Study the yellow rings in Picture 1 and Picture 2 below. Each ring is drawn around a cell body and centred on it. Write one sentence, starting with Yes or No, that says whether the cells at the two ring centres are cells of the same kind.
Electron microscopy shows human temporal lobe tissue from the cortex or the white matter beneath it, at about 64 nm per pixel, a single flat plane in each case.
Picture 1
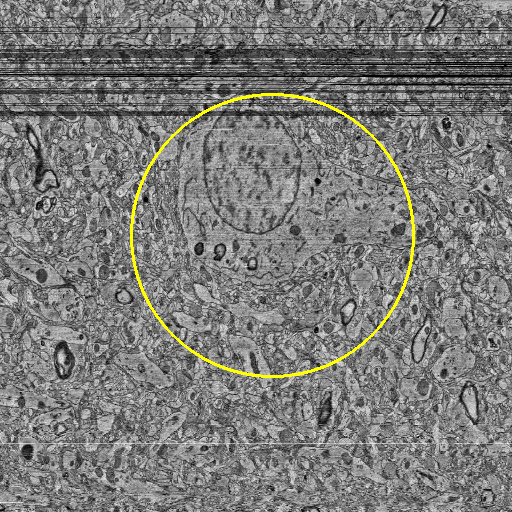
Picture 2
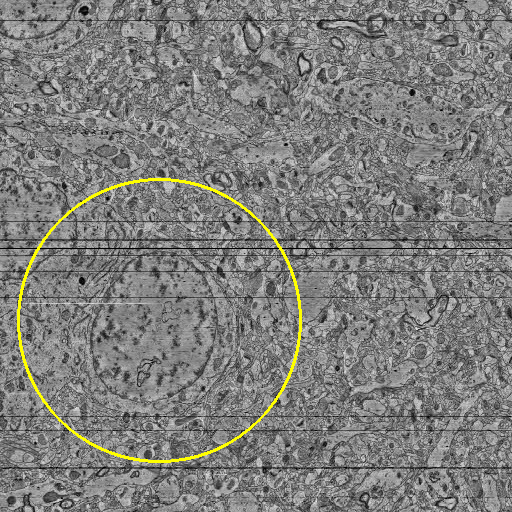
Yes, the cells at both ring centres are of the same kind.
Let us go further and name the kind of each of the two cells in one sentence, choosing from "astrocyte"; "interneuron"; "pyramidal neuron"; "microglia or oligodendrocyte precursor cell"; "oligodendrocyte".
Each of the two pictures has a pyramidal neuron at the ring centre.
